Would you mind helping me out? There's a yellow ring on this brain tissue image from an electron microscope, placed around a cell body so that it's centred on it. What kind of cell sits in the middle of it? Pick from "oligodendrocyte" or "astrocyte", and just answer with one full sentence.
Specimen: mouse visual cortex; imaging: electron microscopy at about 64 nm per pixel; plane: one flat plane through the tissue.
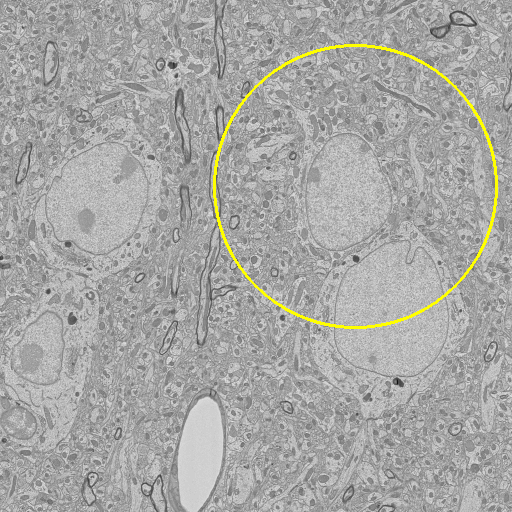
What sits in the middle of that yellow ring is an astrocyte, from your choices.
